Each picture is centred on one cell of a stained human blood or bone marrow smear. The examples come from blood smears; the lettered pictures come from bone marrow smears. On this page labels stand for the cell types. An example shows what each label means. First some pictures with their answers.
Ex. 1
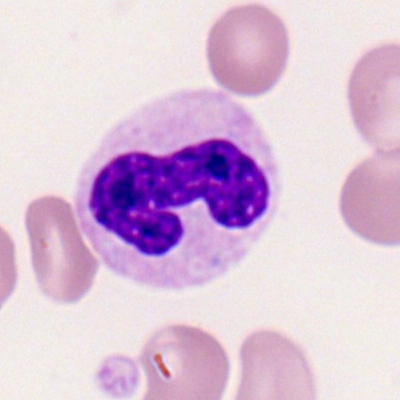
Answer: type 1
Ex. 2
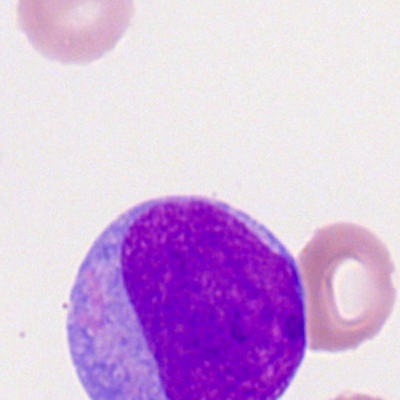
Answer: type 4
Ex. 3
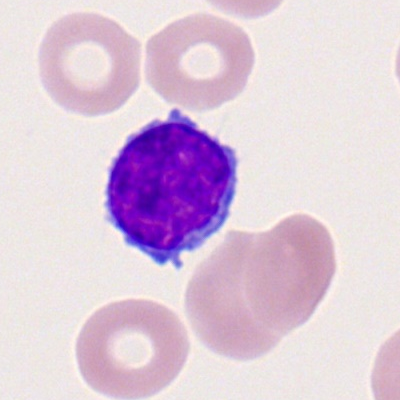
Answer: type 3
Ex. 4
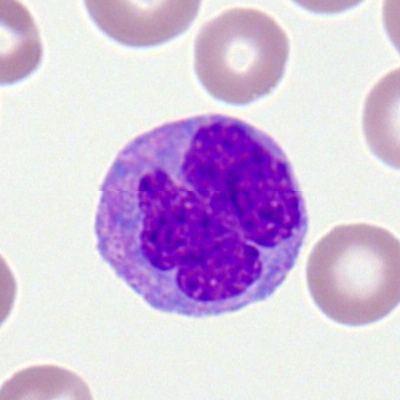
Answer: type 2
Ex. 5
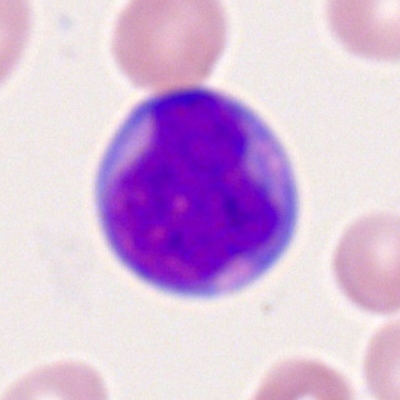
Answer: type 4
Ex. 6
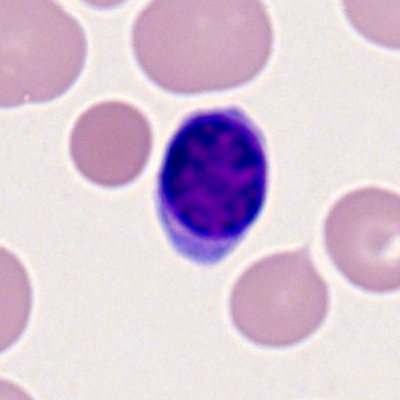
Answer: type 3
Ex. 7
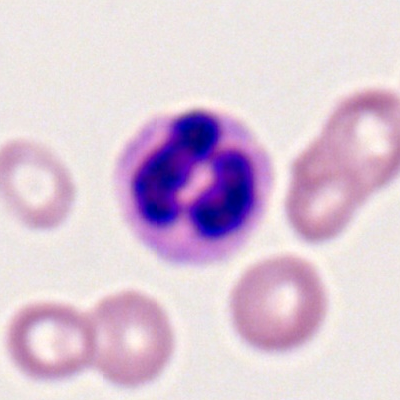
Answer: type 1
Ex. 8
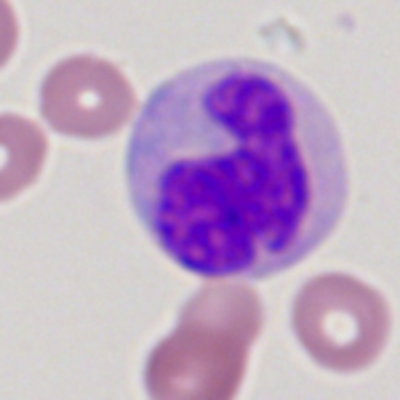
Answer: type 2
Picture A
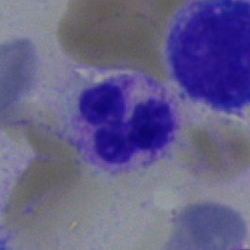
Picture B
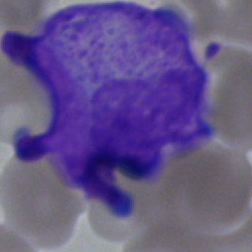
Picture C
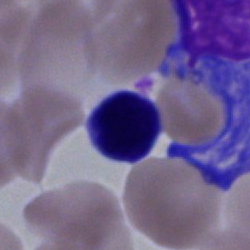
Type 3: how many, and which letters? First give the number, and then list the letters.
1: C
